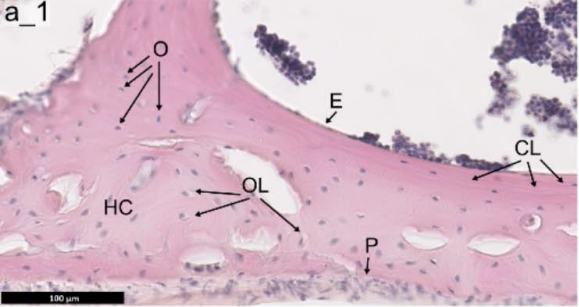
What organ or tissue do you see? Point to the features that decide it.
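Compact bone. Dense pink-staining matrix fills most of the panel. Small dark nuclei lie scattered singly within the matrix. An empty canal-like space lies within the matrix.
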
